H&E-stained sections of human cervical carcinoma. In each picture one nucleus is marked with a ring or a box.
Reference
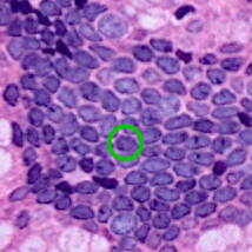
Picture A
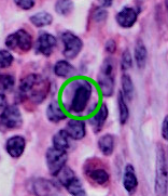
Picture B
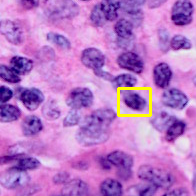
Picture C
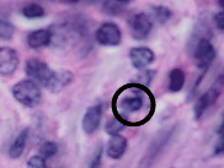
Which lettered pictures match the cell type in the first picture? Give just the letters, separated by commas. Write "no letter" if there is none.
no letter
